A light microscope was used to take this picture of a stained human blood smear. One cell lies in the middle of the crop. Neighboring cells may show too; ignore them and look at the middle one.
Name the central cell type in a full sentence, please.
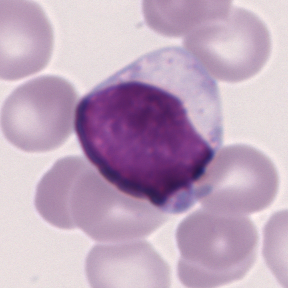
The cell shown in the center of this light-microscope crop is a large granular lymphocyte.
